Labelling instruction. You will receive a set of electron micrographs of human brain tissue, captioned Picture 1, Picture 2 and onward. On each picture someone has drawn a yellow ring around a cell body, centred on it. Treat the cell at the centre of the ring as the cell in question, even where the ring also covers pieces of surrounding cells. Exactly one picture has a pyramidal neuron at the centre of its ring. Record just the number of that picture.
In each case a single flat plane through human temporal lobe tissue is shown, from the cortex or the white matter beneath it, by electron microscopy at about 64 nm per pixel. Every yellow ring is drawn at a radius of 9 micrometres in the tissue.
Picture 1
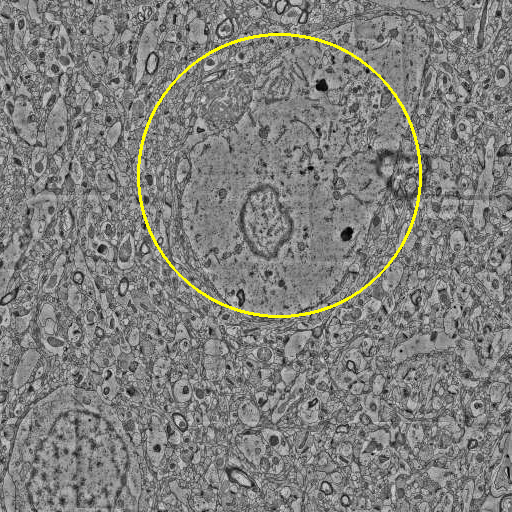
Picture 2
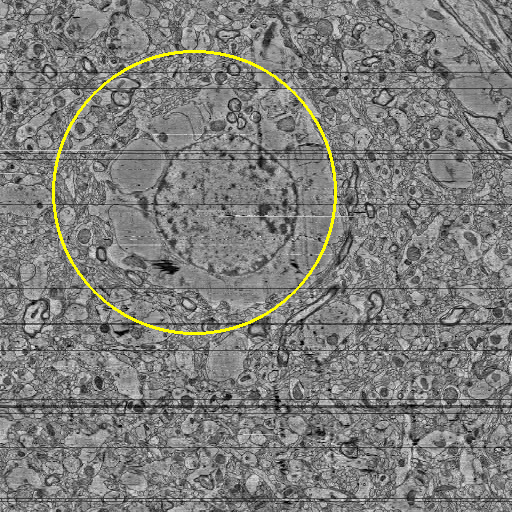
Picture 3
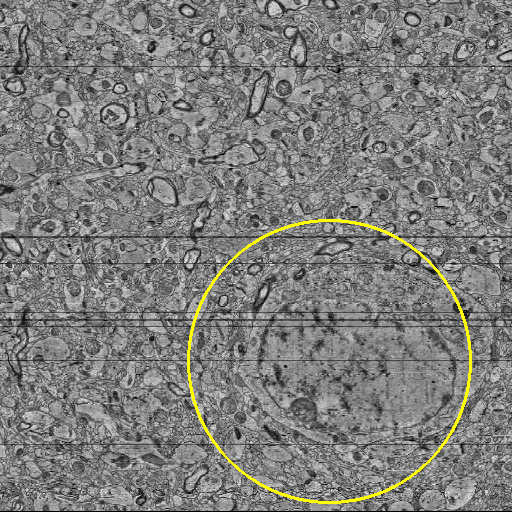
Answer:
1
